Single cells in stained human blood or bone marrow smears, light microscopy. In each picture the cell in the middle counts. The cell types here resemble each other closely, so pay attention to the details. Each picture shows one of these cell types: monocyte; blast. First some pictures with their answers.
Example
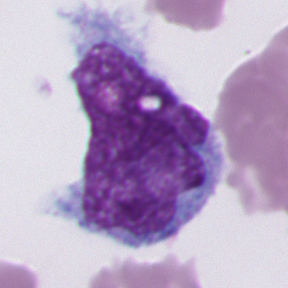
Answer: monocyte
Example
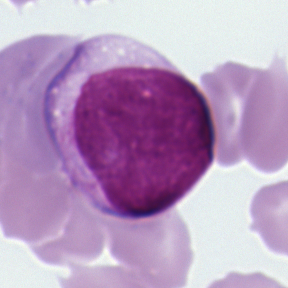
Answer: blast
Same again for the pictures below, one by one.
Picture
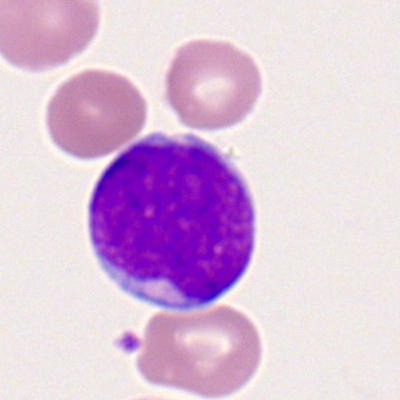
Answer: blast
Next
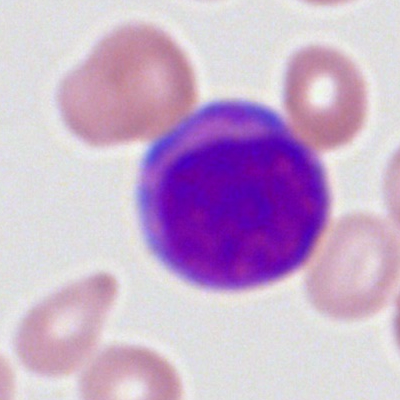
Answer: blast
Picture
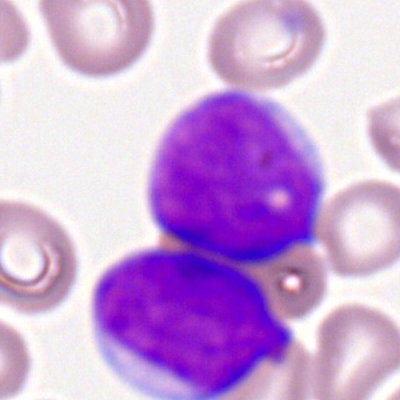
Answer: blast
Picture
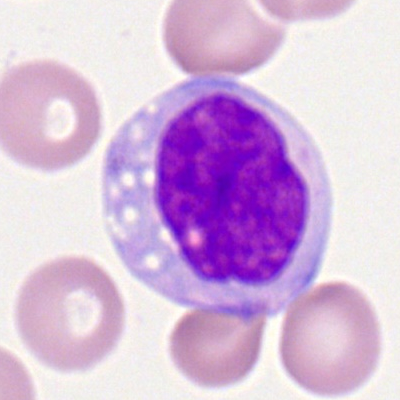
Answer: monocyte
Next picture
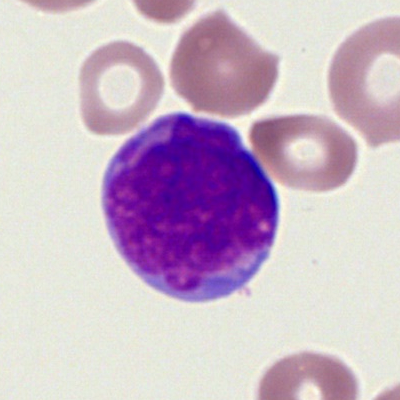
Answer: blast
